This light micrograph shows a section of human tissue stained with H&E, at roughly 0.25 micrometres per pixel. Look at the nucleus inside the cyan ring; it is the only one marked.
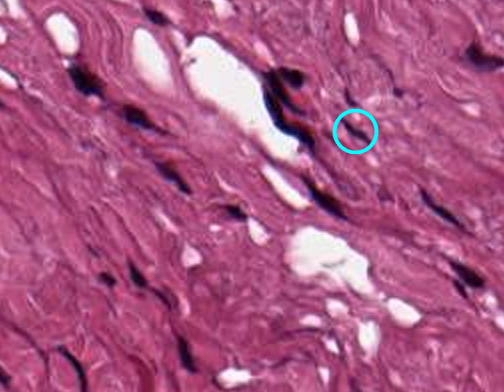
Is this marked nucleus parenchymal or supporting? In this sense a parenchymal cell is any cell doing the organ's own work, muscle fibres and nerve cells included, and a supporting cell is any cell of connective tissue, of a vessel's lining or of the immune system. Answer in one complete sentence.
The marked nucleus is designated as the nucleus of a supporting cell.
